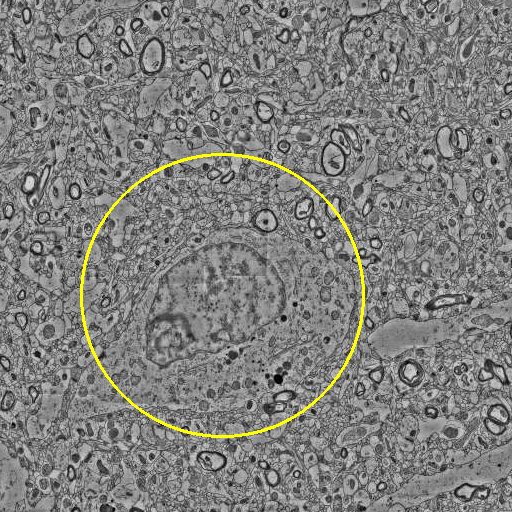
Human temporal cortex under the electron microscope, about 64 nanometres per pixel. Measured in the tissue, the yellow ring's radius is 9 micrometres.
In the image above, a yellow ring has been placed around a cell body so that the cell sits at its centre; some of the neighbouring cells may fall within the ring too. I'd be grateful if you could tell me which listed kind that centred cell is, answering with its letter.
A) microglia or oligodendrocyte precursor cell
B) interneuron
B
